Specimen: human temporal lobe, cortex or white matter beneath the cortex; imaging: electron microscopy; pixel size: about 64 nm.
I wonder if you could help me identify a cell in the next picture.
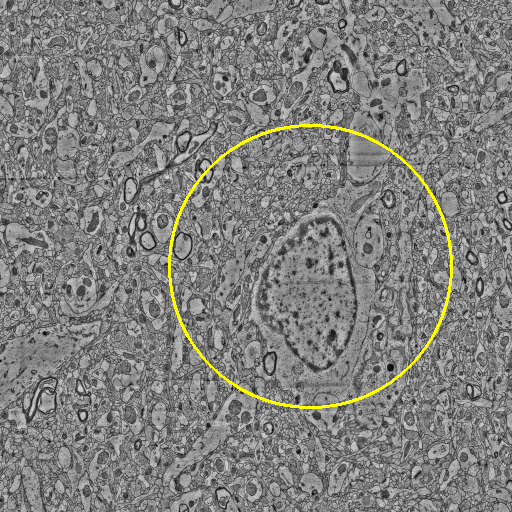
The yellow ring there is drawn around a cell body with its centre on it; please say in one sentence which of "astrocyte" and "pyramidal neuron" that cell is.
The yellow ring is centred on an astrocyte.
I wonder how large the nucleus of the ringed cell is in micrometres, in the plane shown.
The nucleus has a long axis of about 10 micrometres and a short axis of about 6 micrometres in this plane.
